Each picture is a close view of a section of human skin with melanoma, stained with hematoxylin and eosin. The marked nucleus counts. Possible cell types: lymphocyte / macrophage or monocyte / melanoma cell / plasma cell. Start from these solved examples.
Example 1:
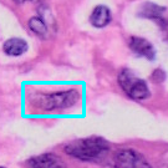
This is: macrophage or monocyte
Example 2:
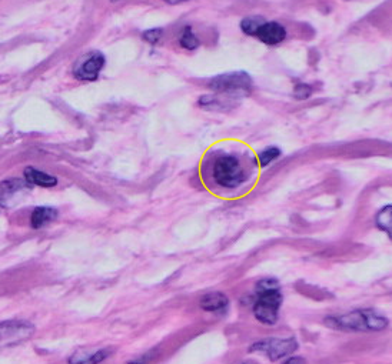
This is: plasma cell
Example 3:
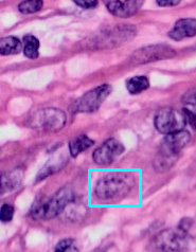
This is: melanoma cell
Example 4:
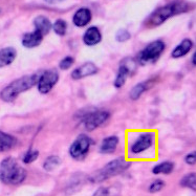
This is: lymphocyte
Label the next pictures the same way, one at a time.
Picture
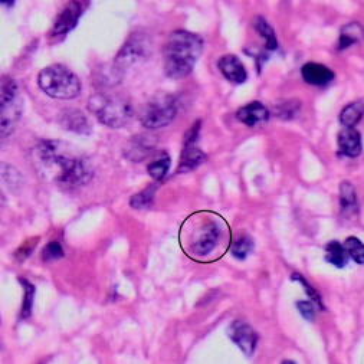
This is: macrophage or monocyte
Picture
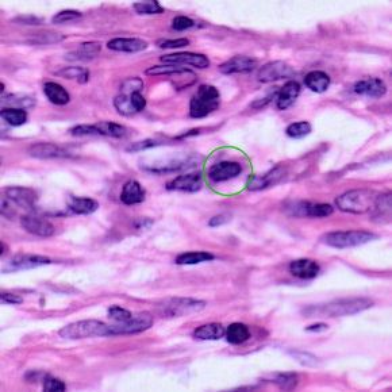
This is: plasma cell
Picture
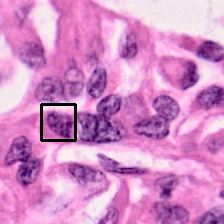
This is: melanoma cell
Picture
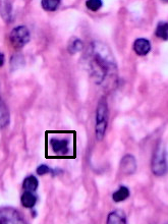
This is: lymphocyte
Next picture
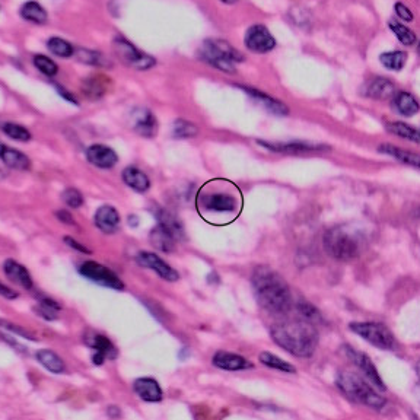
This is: lymphocyte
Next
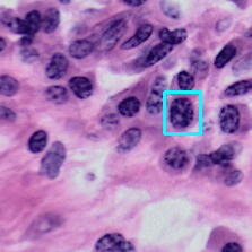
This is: plasma cell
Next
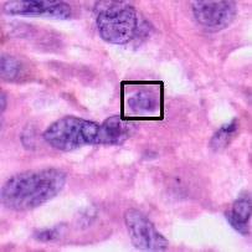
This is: melanoma cell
